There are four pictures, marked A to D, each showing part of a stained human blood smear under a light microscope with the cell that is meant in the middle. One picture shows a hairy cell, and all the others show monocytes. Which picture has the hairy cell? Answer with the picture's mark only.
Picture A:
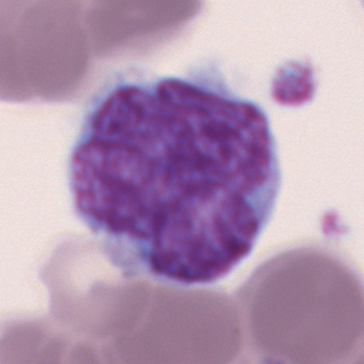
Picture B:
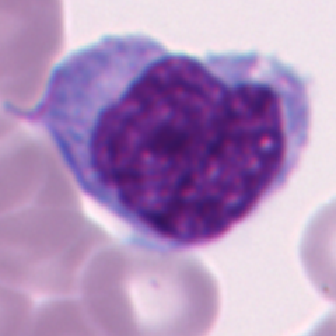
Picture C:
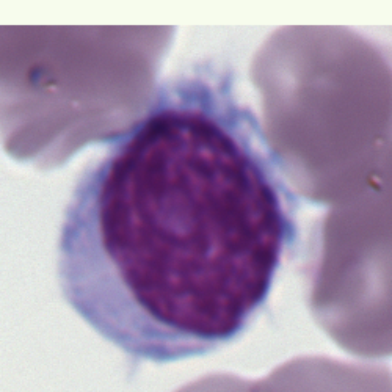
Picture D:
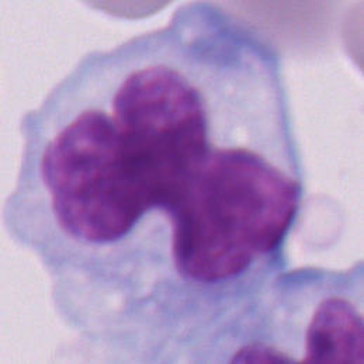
C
